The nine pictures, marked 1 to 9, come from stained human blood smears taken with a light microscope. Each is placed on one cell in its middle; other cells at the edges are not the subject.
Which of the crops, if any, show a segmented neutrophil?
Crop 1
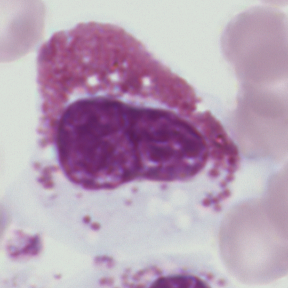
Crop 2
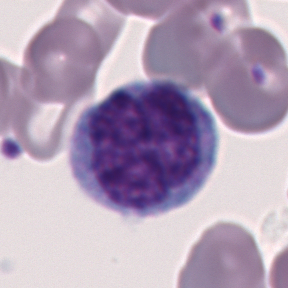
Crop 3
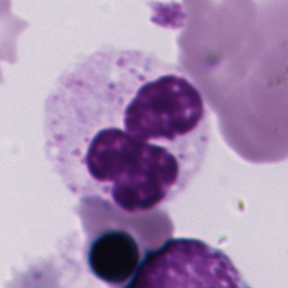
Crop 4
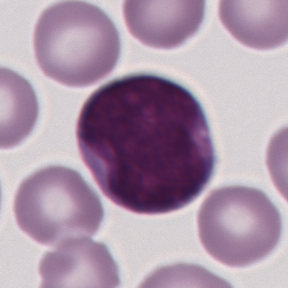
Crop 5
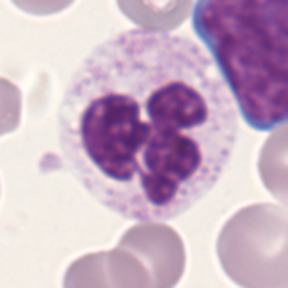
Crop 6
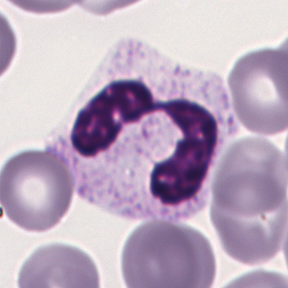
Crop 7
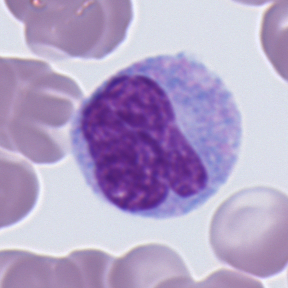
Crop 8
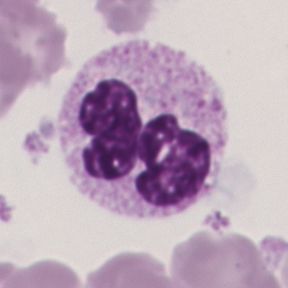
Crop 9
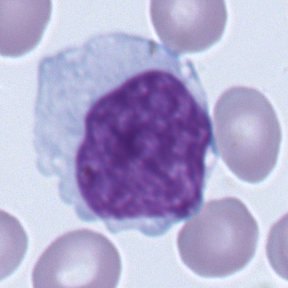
3, 5, 6, 8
